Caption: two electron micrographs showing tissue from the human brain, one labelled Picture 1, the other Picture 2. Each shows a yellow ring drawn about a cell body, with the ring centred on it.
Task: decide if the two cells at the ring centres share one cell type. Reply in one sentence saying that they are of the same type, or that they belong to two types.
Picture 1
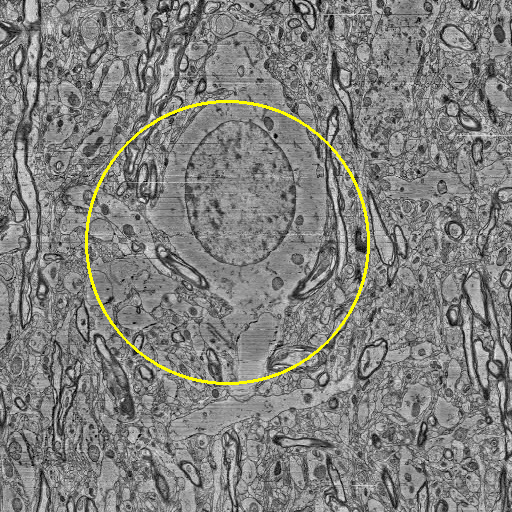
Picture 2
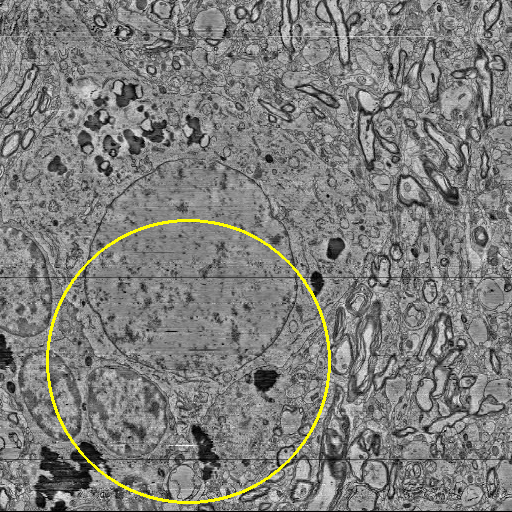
The cells at the ring centres in Picture 1 and Picture 2 belong to two types.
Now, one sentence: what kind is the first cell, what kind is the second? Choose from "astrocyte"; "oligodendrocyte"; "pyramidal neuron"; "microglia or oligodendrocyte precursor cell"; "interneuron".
The first picture has an astrocyte at its ring centre, and the second has a pyramidal neuron.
